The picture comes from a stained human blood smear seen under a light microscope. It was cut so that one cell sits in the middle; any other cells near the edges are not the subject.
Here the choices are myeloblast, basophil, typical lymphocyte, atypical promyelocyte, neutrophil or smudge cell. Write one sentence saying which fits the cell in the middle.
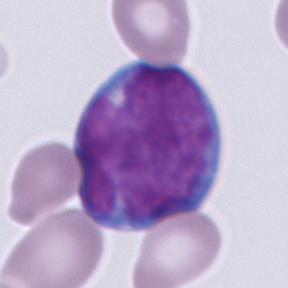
What the crop centres on is a myeloblast.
